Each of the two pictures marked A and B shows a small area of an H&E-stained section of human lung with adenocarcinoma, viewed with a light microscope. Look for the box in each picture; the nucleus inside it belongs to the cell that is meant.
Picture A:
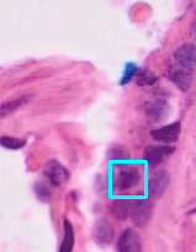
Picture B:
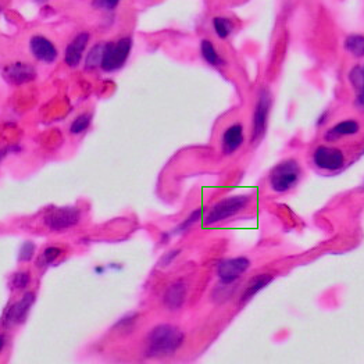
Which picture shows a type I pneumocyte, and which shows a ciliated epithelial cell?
A: ciliated epithelial cell
B: type I pneumocyte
